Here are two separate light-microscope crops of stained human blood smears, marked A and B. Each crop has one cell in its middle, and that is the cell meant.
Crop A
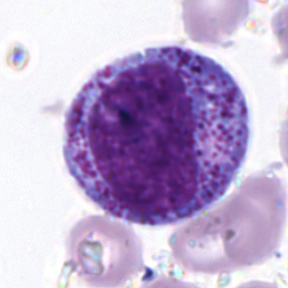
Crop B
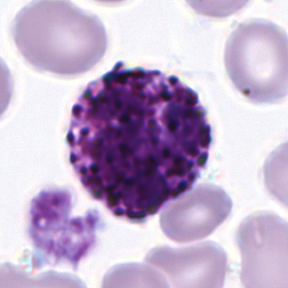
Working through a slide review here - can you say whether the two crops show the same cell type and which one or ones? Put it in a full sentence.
No, crop A shows a promyelocyte, with a basophil shown in crop B.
